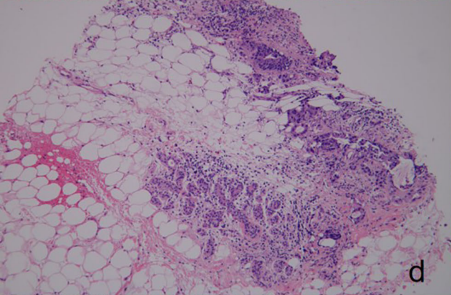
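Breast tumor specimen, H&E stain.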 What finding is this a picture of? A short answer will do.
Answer: invasive growth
